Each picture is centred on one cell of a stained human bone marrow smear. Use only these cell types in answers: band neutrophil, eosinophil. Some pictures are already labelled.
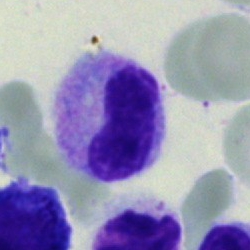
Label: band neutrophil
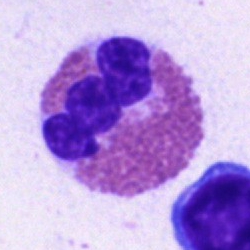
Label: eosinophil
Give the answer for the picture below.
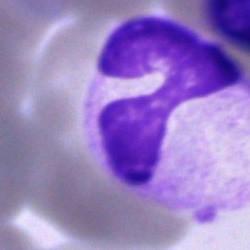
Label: band neutrophil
